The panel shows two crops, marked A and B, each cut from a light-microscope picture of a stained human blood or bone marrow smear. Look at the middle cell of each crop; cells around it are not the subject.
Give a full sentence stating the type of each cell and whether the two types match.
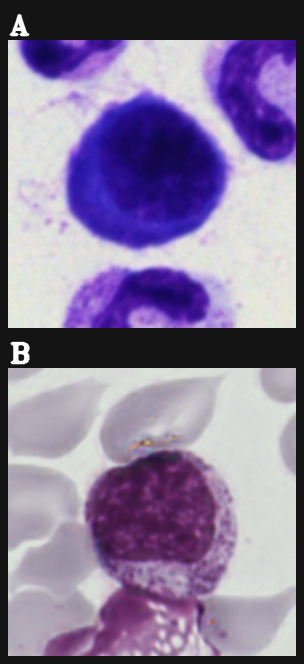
No, crop A represents a plasma cell, and crop B represents a myelocyte.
